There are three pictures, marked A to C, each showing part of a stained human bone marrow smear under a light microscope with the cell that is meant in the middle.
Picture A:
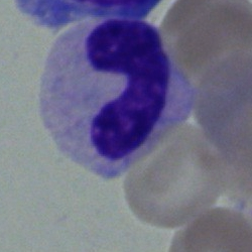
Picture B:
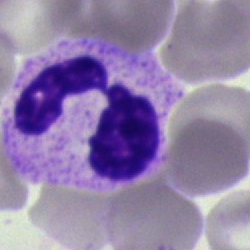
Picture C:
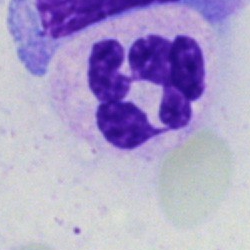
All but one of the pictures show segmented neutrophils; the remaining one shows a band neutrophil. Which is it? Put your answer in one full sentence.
The picture with the band neutrophil is A.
